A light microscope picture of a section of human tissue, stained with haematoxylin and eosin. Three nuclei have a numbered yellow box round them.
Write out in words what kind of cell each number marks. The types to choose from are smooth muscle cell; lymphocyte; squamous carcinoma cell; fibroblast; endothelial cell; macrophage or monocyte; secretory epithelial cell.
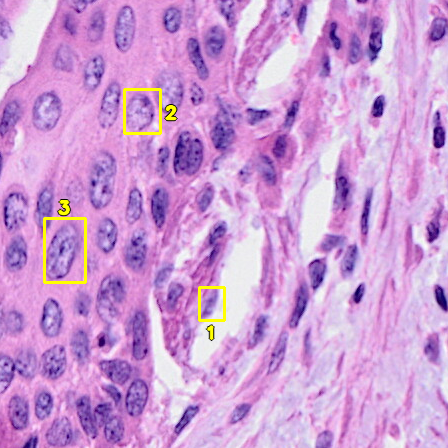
Cell 1 is a fibroblast, cell 2 is a squamous carcinoma cell and cell 3 is a squamous carcinoma cell.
